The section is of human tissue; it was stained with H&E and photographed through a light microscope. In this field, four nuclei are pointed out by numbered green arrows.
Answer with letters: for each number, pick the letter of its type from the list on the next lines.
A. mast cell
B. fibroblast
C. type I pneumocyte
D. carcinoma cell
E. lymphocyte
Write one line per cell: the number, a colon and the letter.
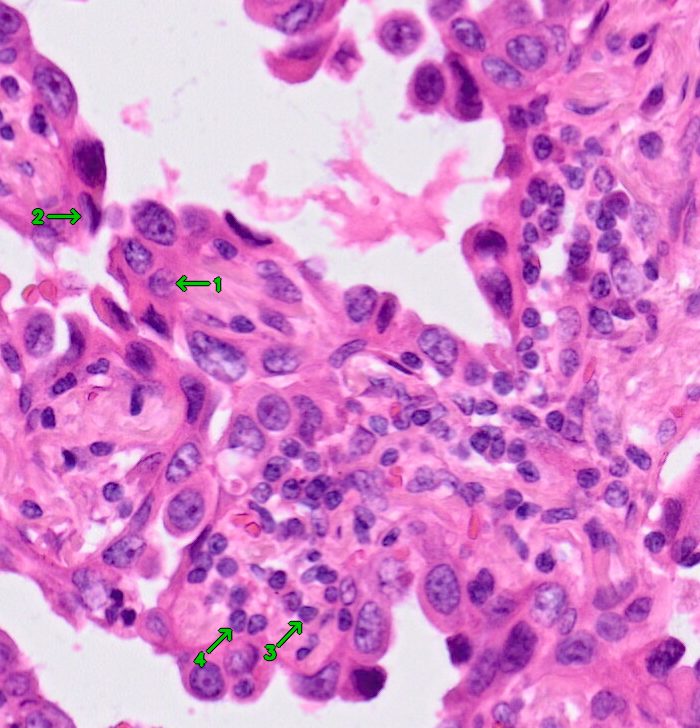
1: D
2: D
3: E
4: E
